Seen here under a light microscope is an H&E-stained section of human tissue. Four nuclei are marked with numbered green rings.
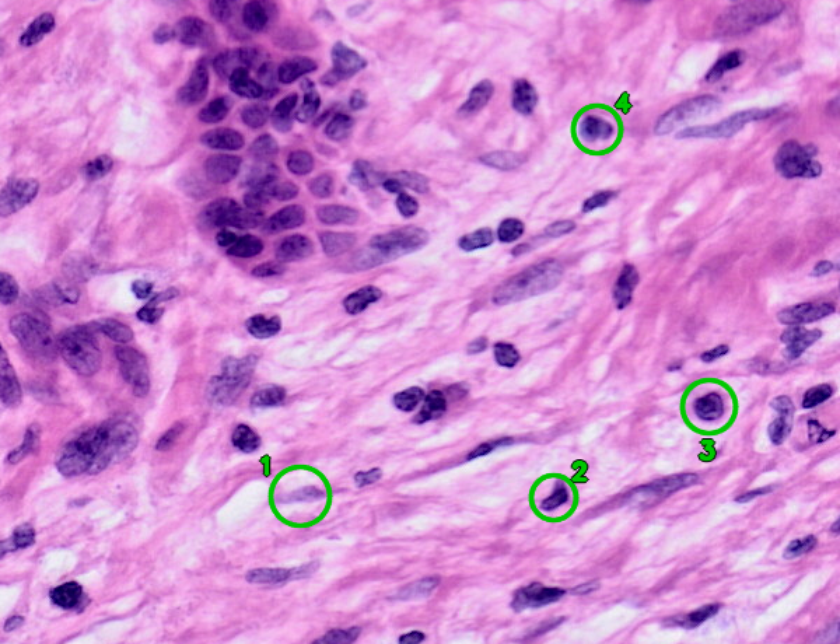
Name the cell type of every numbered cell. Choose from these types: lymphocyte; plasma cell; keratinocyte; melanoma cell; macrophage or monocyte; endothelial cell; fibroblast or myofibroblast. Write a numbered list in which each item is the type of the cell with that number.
1. fibroblast or myofibroblast
2. lymphocyte
3. lymphocyte
4. lymphocyte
